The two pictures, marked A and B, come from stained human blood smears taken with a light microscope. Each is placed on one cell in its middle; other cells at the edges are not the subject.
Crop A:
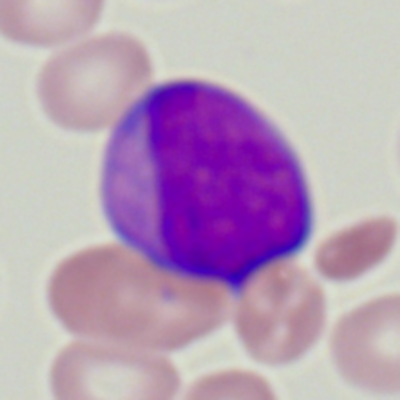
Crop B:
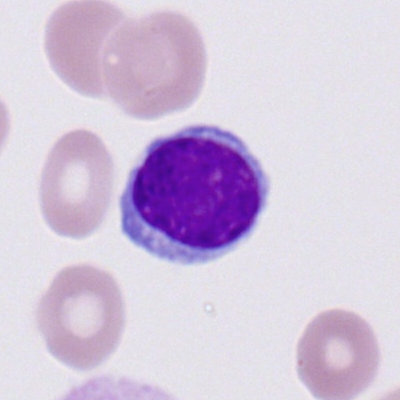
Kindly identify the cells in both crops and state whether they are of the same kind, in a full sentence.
No, crop A captures a blast, and crop B captures a lymphocyte.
